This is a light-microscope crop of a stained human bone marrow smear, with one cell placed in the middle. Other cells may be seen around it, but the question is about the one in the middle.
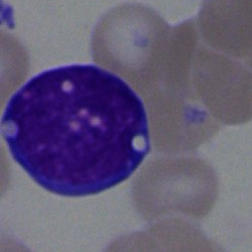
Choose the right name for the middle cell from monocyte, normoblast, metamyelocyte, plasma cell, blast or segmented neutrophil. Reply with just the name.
blast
